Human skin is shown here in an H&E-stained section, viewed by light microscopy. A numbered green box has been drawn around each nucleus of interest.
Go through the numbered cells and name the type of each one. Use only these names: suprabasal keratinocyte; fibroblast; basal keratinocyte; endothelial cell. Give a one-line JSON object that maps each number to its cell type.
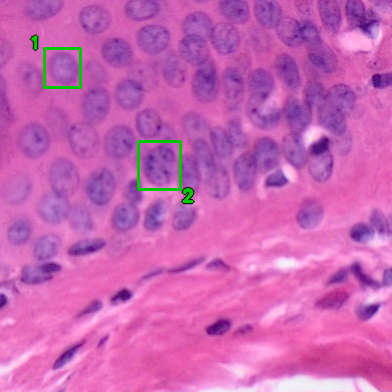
{"1": "suprabasal keratinocyte", "2": "basal keratinocyte"}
